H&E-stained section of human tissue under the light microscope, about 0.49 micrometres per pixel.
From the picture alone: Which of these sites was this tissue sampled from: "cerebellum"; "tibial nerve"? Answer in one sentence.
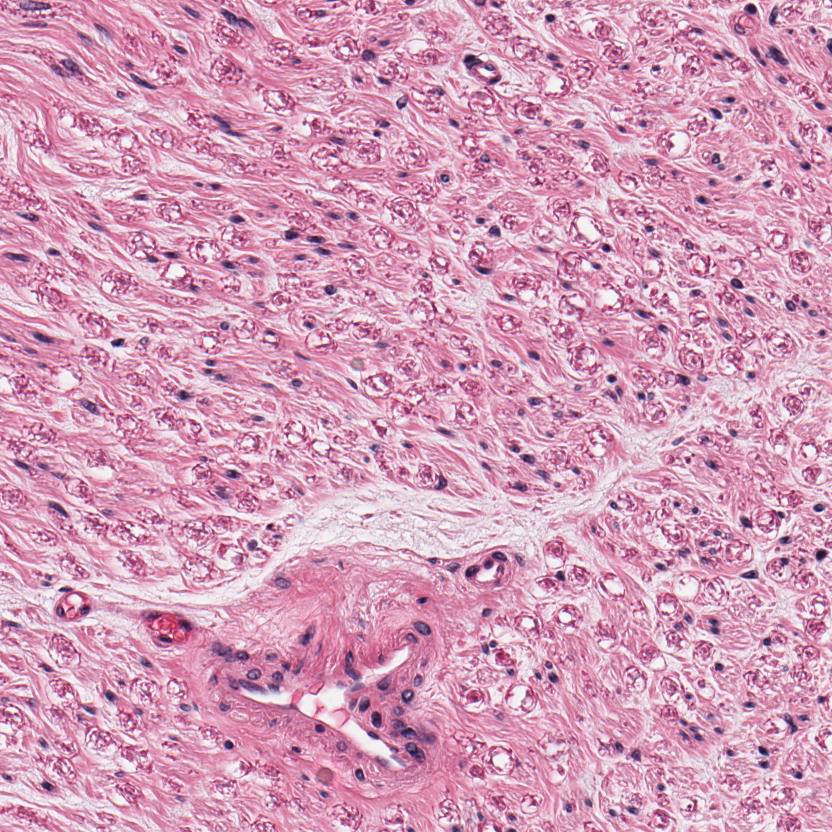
The site this tissue was sampled from is the tibial nerve.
